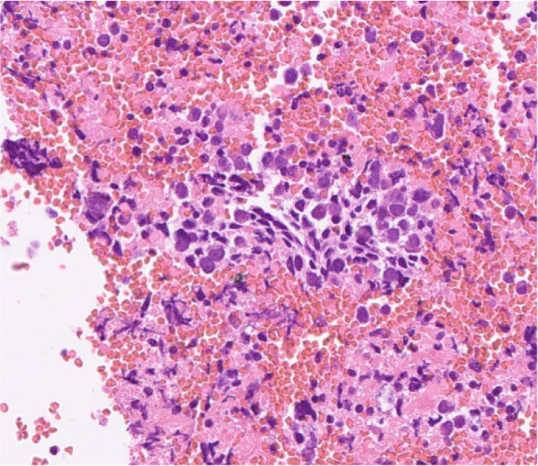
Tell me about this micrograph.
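A tumor composed of atypical cells with dark purple, hyperchromatic nuclei of varying size and shape and only scant cytoplasm. The tumor cells form a loose central cluster, with some elongated nuclei, and are surrounded by abundant red blood cells and pink, structureless material.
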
